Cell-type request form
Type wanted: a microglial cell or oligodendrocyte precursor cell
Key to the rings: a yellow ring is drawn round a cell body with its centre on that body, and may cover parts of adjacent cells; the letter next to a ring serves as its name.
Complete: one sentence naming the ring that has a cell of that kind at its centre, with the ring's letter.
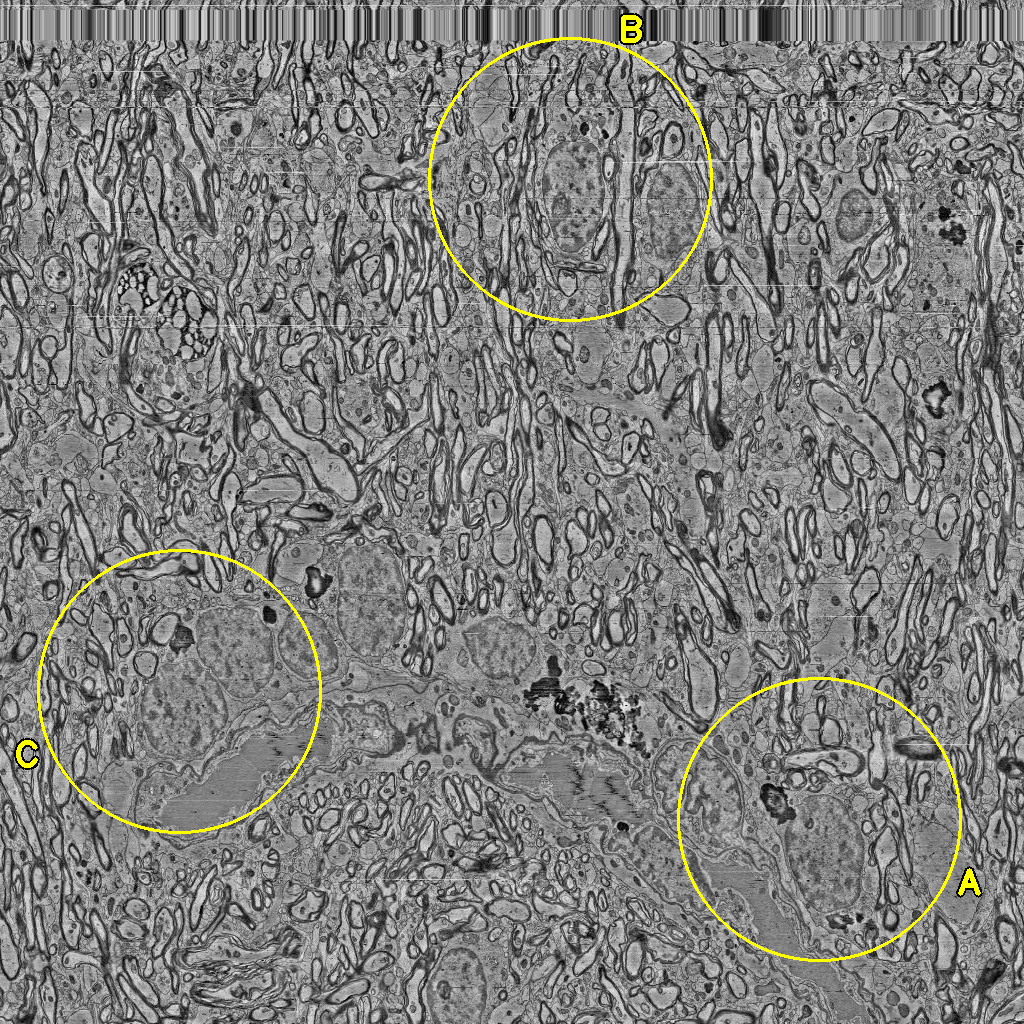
A cell of that kind sits at the centre of the ring labelled B.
